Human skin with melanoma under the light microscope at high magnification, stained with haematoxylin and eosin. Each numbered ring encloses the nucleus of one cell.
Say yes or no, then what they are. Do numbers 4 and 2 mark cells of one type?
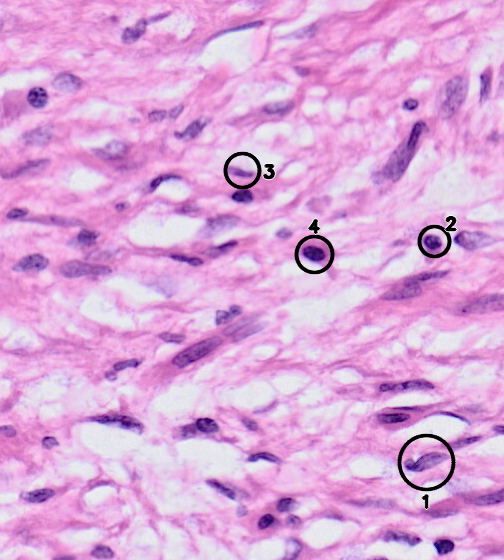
Yes, for cells 4 and 2 alike, the identity is that of plasma cells.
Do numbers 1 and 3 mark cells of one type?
No, cell 1 is a macrophage or monocyte, while cell 3 is a fibroblast or myofibroblast.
